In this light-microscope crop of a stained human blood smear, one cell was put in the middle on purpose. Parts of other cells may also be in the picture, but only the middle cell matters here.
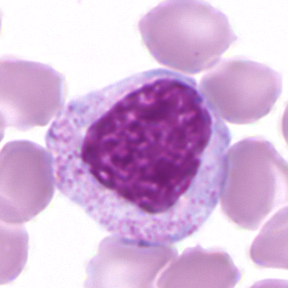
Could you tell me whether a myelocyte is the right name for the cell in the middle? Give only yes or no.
no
